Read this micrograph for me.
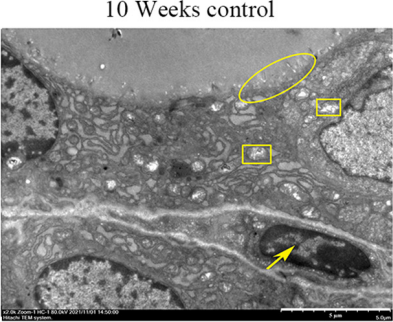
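Thyroid follicular epithelial cells seen by electron microscopy, with homogeneous grey colloid at the top bordering their apical surface, which carries only sparse short microvilli. The cytoplasm is packed with profiles of rough endoplasmic reticulum and contains scattered pale, swollen mitochondria. Below, an elongated nucleus with dense, dark condensed chromatin contrasts with the paler, finely granular nuclei of neighbouring cells.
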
